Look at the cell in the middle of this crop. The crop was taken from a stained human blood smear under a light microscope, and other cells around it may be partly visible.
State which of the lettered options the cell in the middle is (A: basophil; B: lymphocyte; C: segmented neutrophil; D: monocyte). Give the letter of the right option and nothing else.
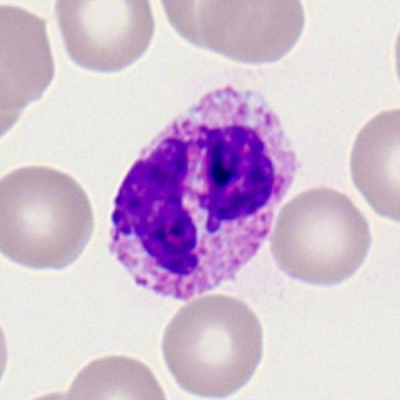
A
